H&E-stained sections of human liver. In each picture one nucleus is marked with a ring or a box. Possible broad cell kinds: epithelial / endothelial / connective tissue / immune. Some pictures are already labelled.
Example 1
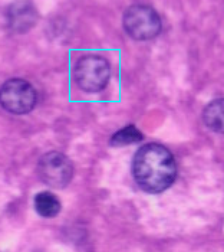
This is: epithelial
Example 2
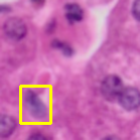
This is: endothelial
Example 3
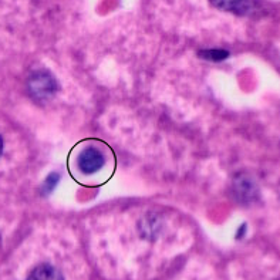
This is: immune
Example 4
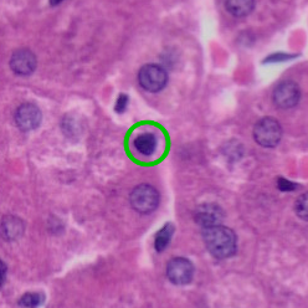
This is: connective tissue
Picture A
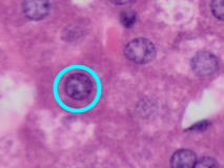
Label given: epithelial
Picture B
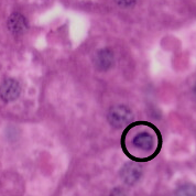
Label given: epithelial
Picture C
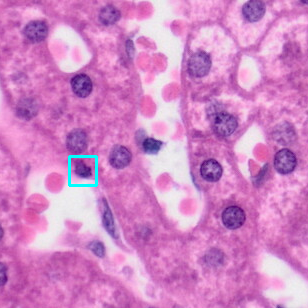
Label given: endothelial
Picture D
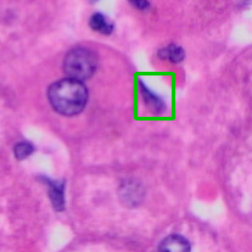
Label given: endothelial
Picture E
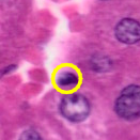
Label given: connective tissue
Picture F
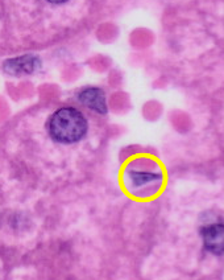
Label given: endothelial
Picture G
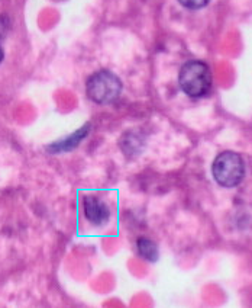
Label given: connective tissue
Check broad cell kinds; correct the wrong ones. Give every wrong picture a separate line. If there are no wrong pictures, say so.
B should be connective tissue, not epithelial
C should be connective tissue, not endothelial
